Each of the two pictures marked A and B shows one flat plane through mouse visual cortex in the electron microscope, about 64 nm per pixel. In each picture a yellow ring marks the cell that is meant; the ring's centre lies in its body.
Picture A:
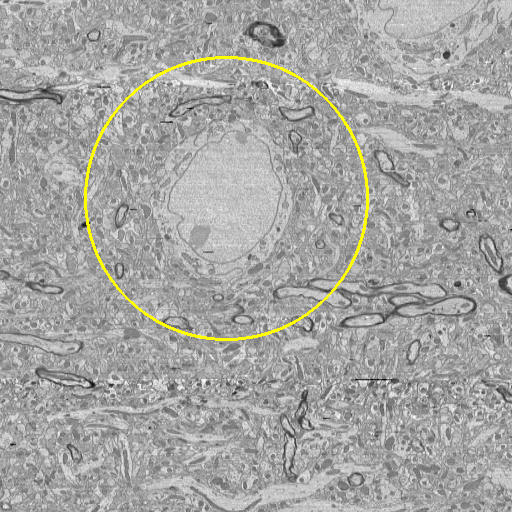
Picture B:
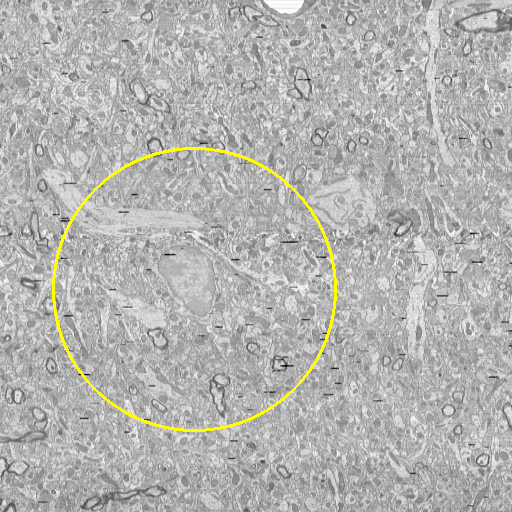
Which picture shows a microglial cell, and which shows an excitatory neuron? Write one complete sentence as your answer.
The cell in picture A is an excitatory neuron, and the one in picture B is a microglial cell.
